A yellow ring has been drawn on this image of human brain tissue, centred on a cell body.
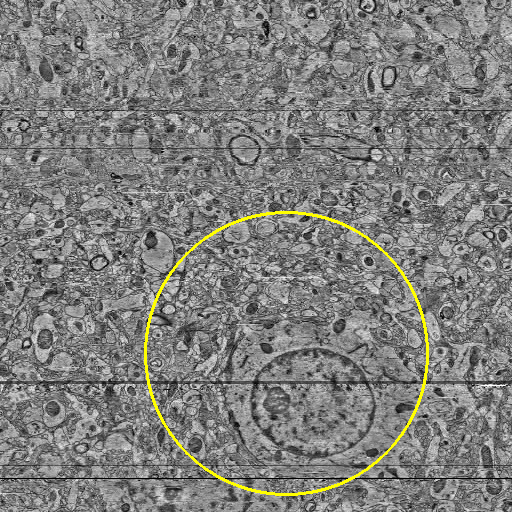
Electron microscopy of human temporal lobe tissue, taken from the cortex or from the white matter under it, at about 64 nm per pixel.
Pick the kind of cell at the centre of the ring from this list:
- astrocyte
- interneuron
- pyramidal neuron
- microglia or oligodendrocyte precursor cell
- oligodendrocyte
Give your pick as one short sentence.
The centre of the ring holds an astrocyte.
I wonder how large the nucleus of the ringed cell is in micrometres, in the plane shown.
Roughly 7 micrometres across for the nucleus, in this plane.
